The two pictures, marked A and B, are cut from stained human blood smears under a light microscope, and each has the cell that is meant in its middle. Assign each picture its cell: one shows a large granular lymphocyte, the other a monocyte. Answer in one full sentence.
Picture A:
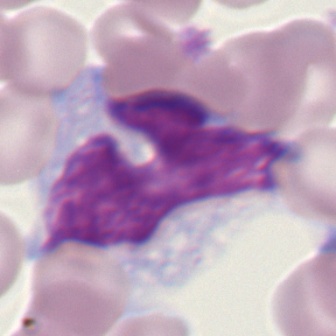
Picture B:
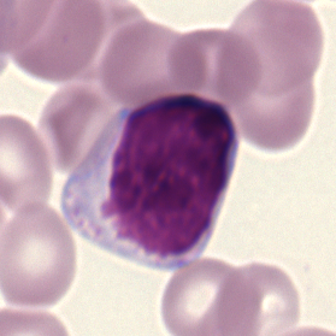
Picture A is of a monocyte, and picture B is of a large granular lymphocyte.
